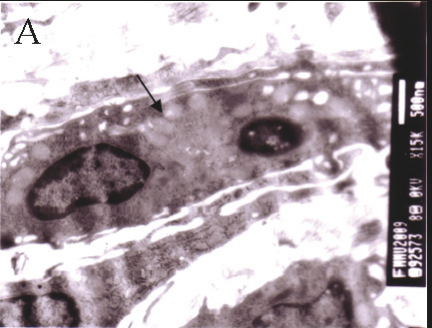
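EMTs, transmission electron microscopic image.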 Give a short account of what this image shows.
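A large irregular nucleus with heterochromatin along its envelope lies at the left, and a smaller dark nuclear profile lies to the right. The cytoplasm holds many small pale round vesicles. The cell is bordered by narrow pale spaces and thin membranes of neighbouring cells.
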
